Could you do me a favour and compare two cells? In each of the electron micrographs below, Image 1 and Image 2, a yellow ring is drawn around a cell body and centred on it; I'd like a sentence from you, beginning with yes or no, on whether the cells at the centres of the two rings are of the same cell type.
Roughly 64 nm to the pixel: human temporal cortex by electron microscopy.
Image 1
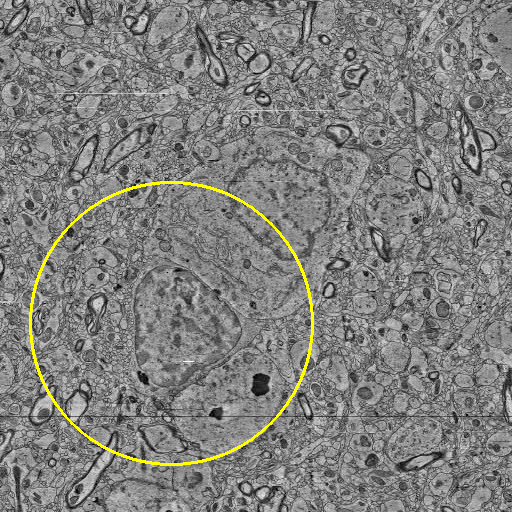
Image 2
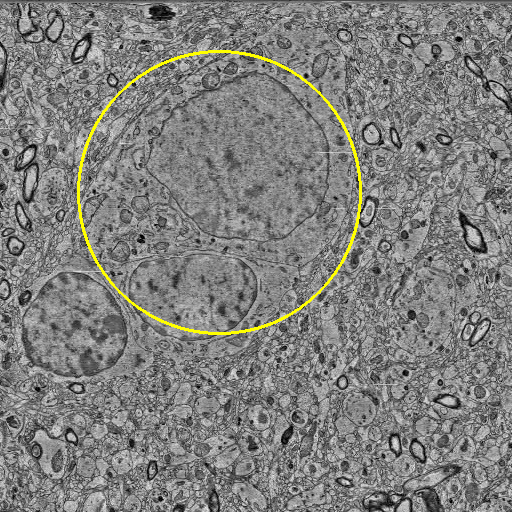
No, the two cells are of two cell types.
